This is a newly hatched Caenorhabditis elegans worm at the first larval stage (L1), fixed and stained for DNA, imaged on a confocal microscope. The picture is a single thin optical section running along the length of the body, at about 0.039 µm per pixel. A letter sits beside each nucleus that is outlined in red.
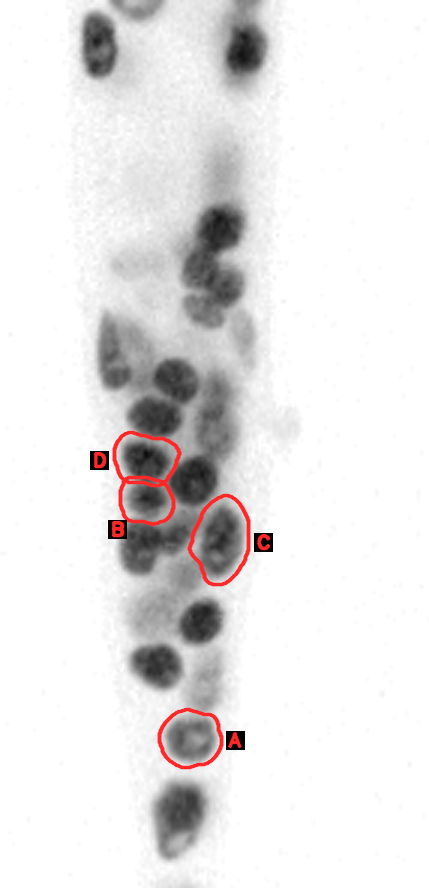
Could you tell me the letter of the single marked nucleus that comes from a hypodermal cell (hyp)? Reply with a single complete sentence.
A is the nucleus of a hypodermal cell (hyp).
